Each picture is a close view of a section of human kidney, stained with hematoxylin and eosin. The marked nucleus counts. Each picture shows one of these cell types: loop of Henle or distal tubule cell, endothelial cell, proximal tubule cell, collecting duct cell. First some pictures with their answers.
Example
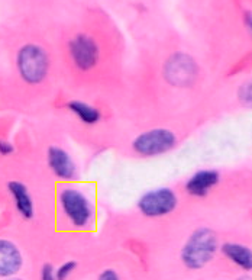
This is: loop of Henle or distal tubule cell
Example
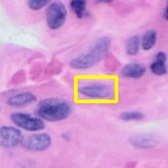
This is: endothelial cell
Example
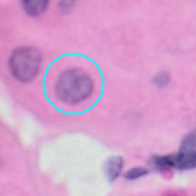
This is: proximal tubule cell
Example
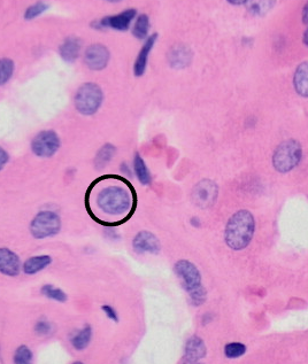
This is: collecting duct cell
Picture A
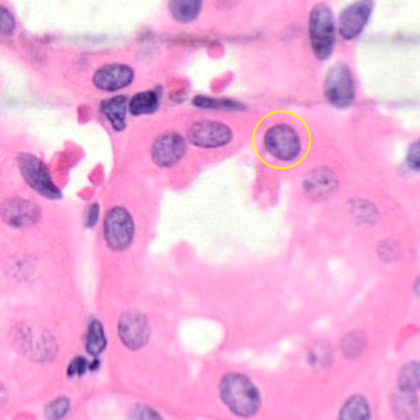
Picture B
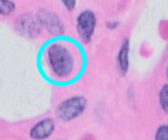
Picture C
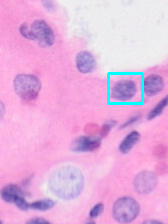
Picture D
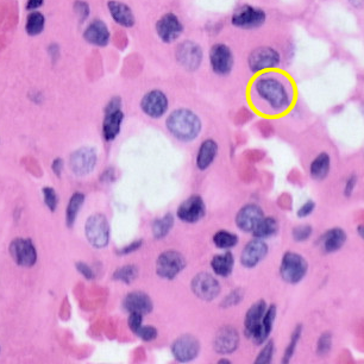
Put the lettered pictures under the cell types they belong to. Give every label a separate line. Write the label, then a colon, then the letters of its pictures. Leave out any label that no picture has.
loop of Henle or distal tubule cell: C
proximal tubule cell: A
collecting duct cell: B, D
